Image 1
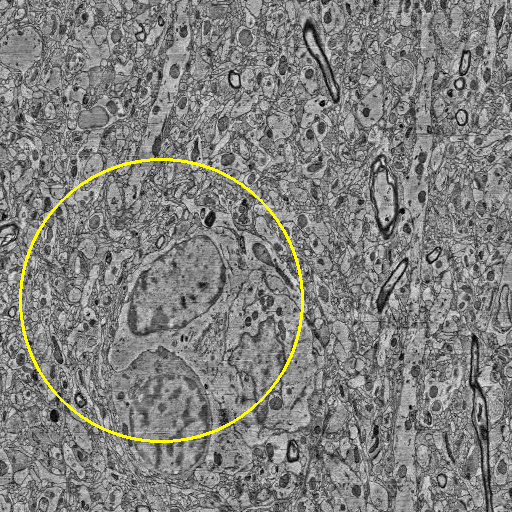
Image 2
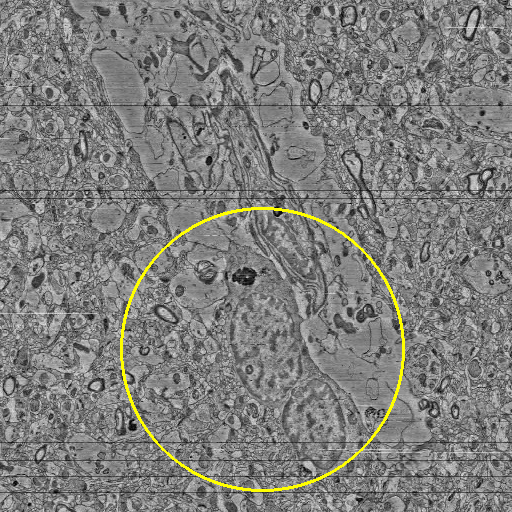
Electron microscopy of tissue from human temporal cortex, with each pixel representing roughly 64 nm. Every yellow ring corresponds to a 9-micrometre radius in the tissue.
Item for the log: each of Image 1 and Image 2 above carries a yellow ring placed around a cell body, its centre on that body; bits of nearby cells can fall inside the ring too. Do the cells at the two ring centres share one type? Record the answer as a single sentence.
No, the two cells at the ring centres in Image 1 and Image 2 are of two types.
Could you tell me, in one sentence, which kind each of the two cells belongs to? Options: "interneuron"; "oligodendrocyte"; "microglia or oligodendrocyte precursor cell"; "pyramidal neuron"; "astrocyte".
At the centre of the first ring sits a microglial cell or oligodendrocyte precursor cell, and at the centre of the second sits an oligodendrocyte.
